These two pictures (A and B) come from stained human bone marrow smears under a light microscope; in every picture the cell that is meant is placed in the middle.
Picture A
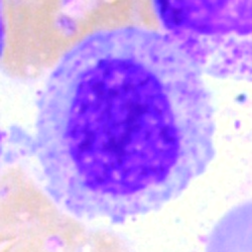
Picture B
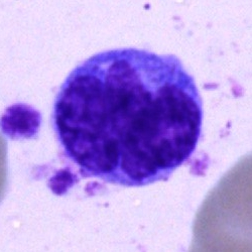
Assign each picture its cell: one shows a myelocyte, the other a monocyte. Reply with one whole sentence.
Picture B shows a monocyte, while picture A shows a myelocyte.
